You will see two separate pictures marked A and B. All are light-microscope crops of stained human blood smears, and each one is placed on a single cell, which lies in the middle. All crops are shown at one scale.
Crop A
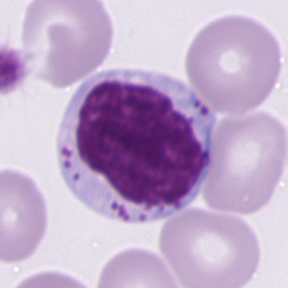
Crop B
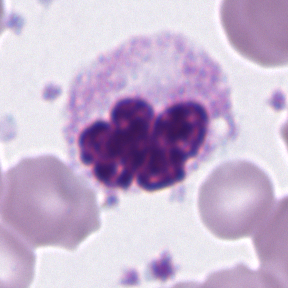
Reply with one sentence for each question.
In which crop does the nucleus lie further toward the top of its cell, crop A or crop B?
It is the nucleus in crop A that lies further toward the top of its cell.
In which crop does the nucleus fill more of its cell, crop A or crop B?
It is the cell in crop A that is filled more by its nucleus.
